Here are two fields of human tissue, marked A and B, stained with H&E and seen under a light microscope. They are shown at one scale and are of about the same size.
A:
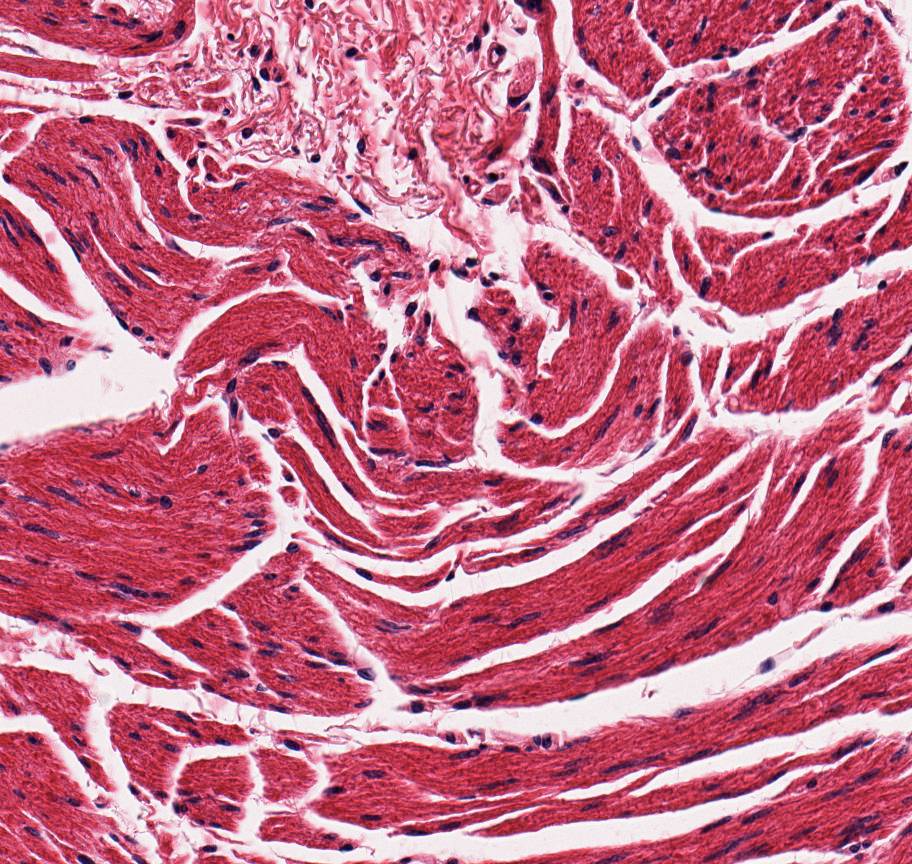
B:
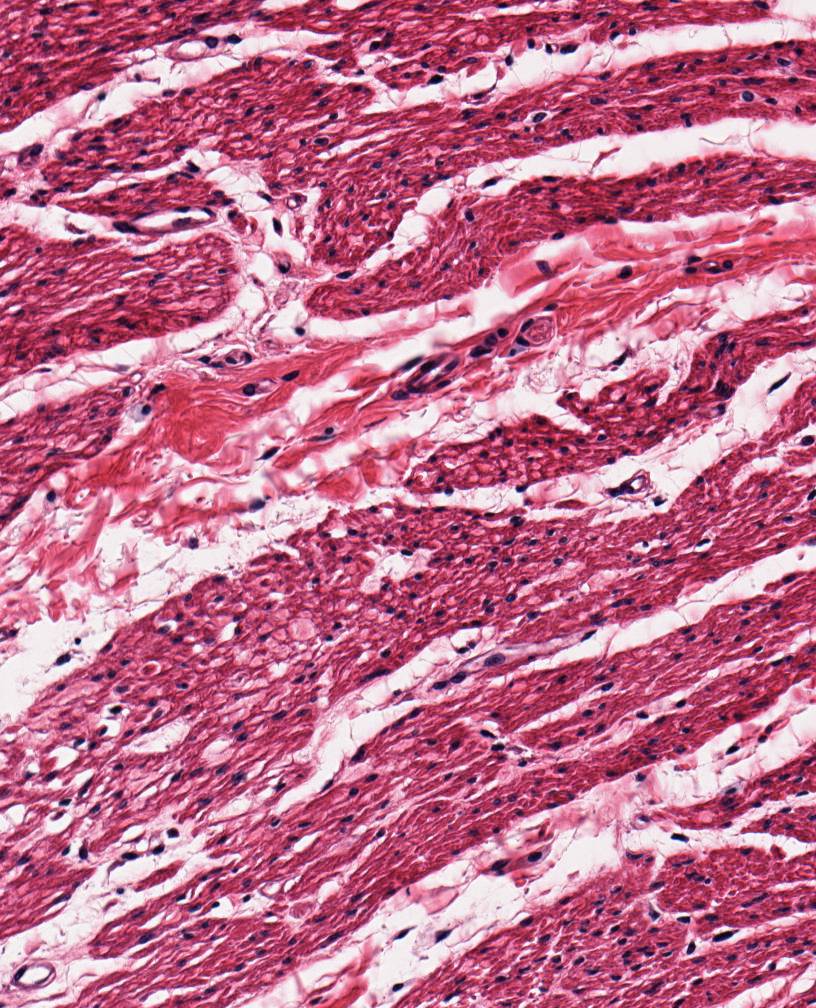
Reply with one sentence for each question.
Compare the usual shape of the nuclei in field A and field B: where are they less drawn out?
It is field B whose nuclei are the rounder.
